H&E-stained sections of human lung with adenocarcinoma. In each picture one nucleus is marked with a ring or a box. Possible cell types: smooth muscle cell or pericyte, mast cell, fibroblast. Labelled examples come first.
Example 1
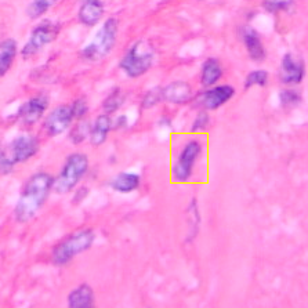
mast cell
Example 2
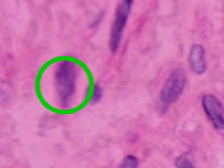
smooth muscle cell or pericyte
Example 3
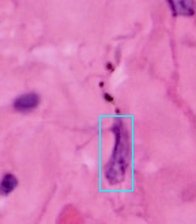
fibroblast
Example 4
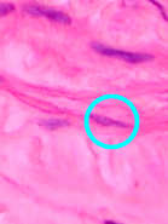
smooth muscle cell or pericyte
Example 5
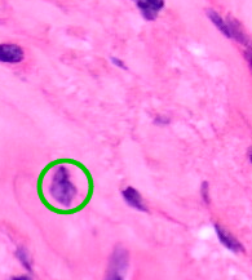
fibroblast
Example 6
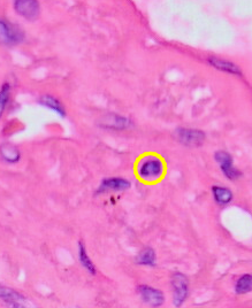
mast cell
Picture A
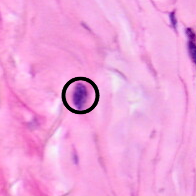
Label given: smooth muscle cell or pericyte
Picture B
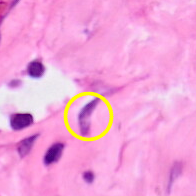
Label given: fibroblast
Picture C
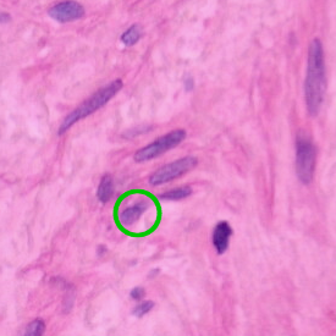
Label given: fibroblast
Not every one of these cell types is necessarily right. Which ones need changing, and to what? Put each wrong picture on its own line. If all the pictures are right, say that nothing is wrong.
A: change smooth muscle cell or pericyte to mast cell
C: change fibroblast to smooth muscle cell or pericyte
